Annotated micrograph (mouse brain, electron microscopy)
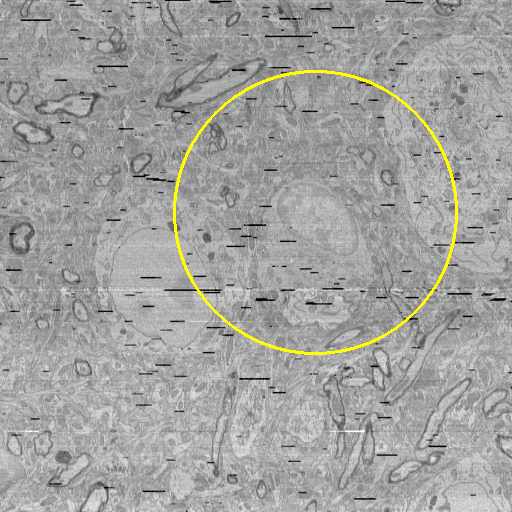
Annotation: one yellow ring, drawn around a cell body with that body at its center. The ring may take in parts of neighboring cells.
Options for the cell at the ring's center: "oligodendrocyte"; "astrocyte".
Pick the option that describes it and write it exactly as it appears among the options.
oligodendrocyte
